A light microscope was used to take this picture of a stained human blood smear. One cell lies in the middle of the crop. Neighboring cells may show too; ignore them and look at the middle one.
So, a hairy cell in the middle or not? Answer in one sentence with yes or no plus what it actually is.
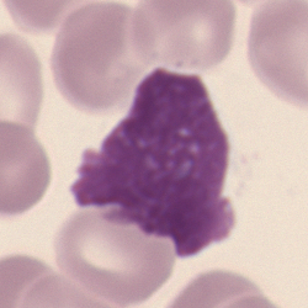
No, wrong label: the middle cell is a smudge cell instead of a hairy cell.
